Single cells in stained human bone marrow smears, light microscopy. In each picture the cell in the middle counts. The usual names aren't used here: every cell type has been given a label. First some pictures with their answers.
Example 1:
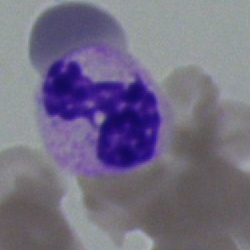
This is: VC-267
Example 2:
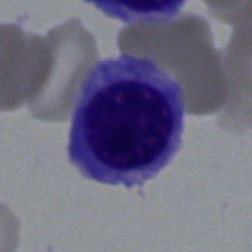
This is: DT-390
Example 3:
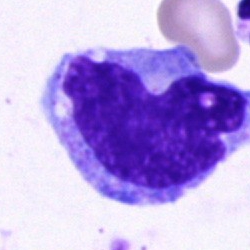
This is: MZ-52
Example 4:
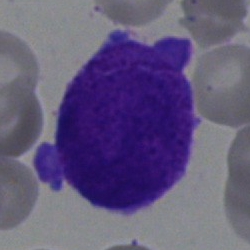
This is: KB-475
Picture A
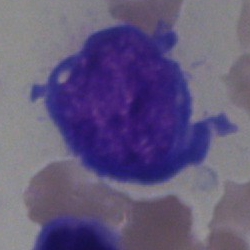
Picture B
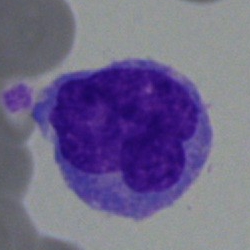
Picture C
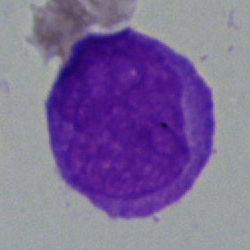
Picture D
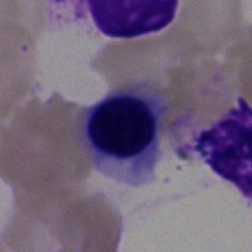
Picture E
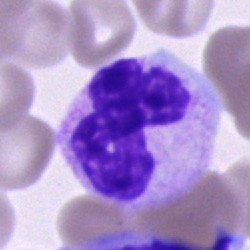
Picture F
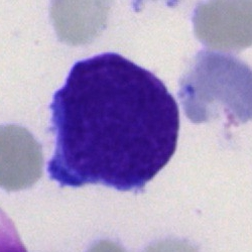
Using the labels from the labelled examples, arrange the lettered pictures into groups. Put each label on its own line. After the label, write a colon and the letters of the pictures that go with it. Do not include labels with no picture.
VC-267: E
DT-390: D
MZ-52: B
KB-475: A, C, F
